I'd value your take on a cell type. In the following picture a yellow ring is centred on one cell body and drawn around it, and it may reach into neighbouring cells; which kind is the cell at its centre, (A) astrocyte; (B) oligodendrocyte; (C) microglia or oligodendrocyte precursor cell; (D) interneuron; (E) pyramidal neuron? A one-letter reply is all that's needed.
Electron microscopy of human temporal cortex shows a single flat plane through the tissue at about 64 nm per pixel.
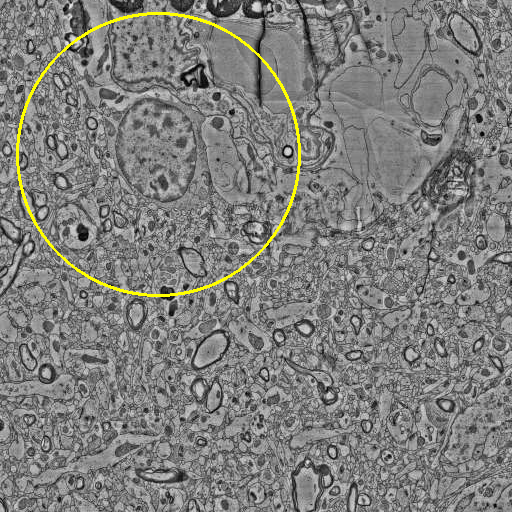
B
